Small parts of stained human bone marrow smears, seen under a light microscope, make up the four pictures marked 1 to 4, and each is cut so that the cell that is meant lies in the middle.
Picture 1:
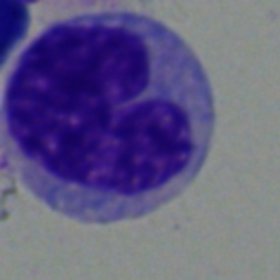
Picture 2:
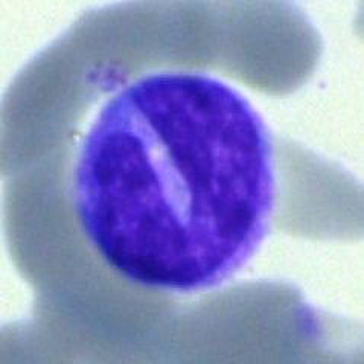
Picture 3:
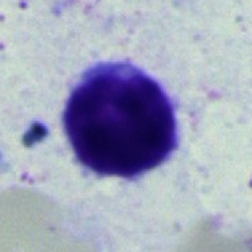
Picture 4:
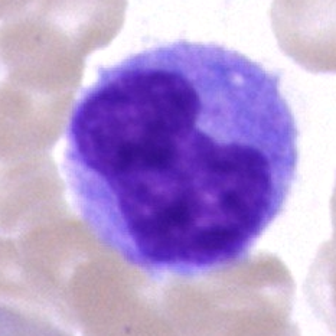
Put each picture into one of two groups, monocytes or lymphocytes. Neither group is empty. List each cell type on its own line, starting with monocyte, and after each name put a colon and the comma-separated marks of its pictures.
monocyte: 1, 2, 4
lymphocyte: 3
